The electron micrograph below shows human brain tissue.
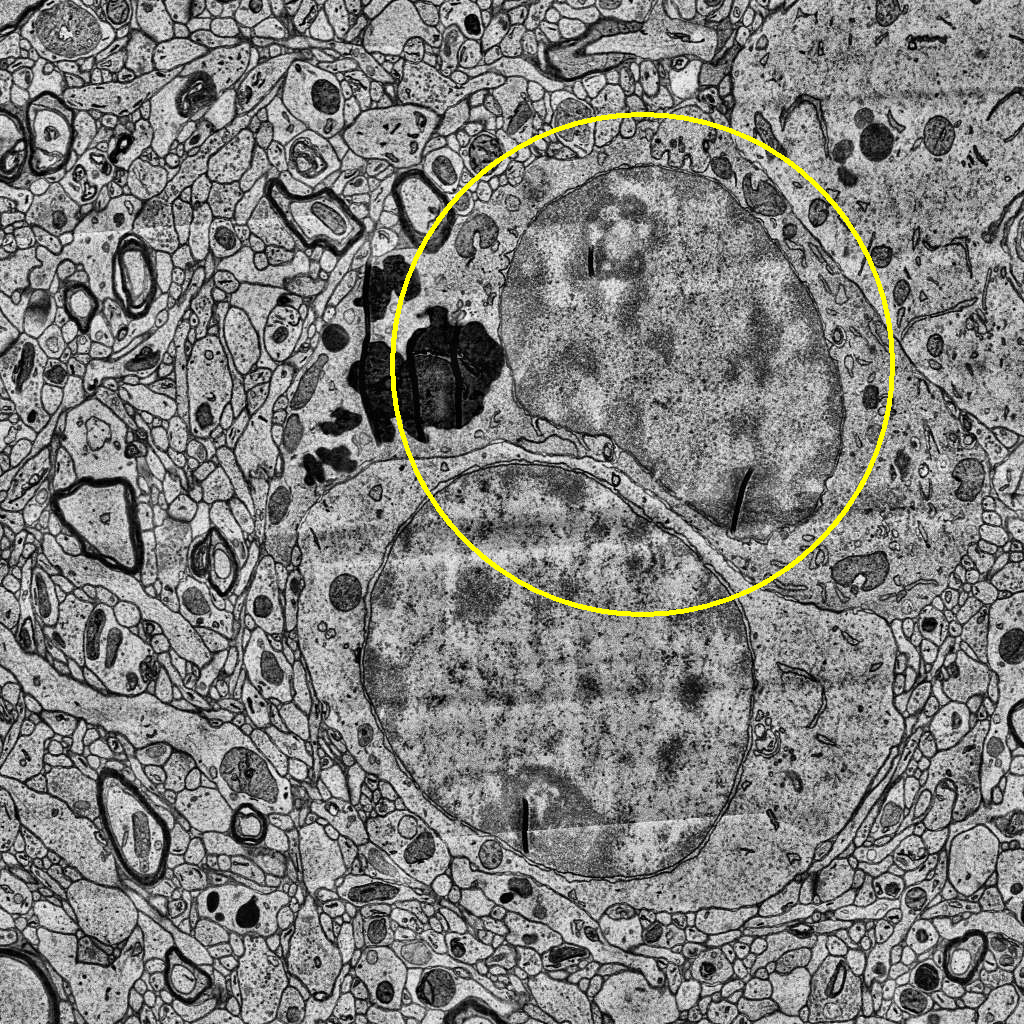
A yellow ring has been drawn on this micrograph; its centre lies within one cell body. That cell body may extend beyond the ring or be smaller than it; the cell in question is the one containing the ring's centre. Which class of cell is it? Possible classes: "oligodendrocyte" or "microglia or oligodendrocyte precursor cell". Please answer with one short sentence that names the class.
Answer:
In the centre of the ring sits an oligodendrocyte.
